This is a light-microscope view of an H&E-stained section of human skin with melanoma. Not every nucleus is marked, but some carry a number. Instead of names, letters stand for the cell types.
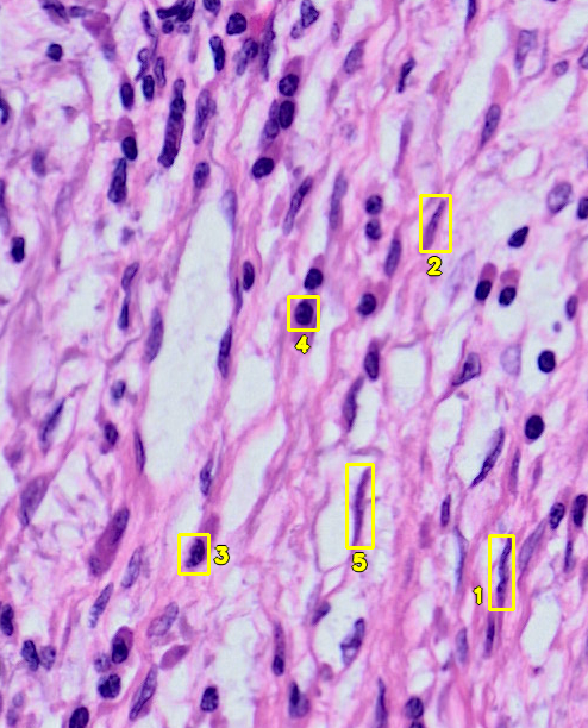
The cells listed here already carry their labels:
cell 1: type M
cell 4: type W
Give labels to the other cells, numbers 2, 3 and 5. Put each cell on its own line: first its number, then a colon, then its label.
2: type M
3: type W
5: type M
